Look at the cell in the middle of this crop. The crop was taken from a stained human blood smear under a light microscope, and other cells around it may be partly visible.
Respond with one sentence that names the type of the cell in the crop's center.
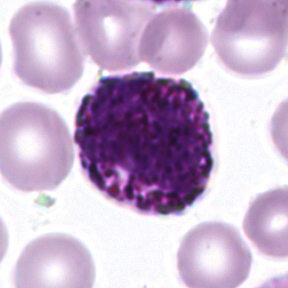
In the middle of this smear crop is a basophil.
